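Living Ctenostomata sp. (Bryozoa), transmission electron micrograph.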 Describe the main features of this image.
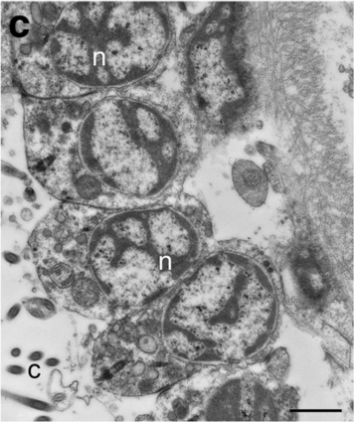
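The nuclei are bounded by a clear double envelope and hold irregular clumps of dark chromatin, some lining the envelope and some scattered inside. To the right runs a broad band of fine fibrous material, and in the pale space at lower left lie many small dark round and oval profiles of similar size, like cross-sectioned cilia.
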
